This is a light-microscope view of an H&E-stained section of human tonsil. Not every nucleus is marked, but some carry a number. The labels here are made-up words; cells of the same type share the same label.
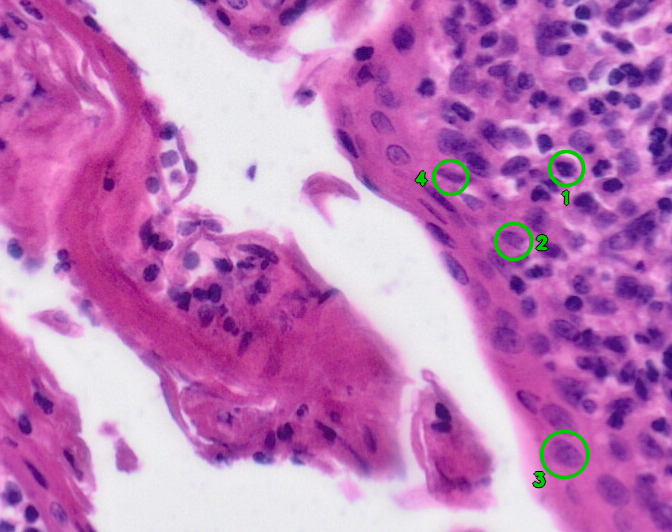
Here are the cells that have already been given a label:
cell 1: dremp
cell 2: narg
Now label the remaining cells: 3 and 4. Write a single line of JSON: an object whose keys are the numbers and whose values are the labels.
{"3": "narg", "4": "narg"}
